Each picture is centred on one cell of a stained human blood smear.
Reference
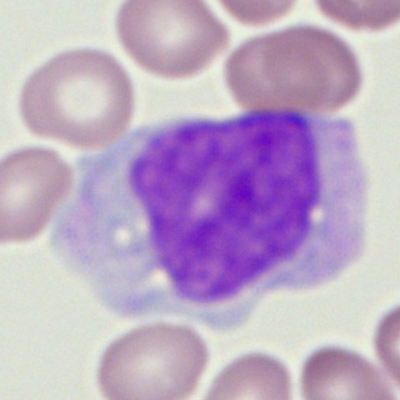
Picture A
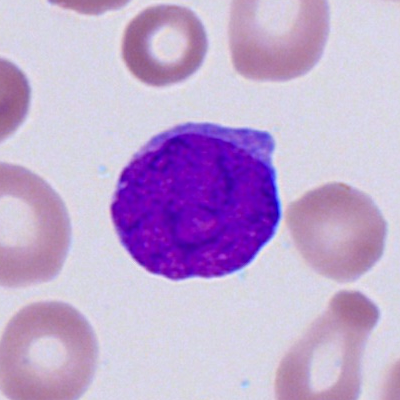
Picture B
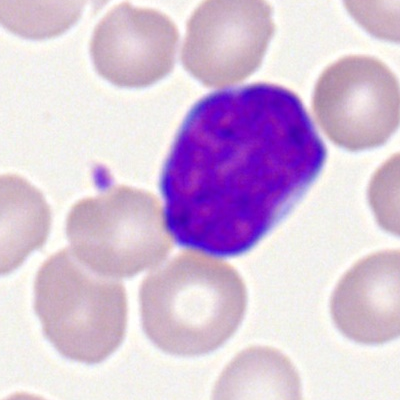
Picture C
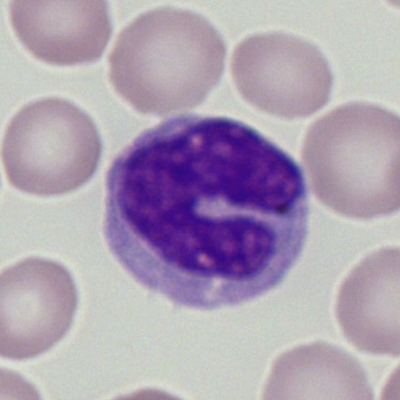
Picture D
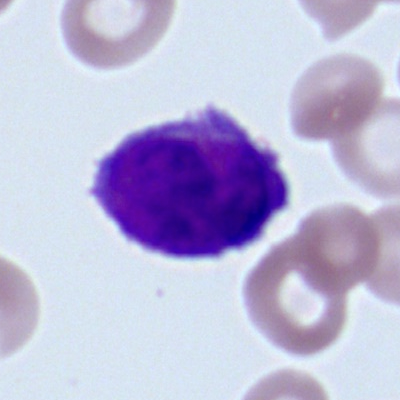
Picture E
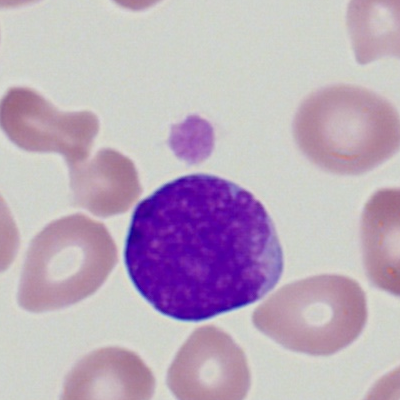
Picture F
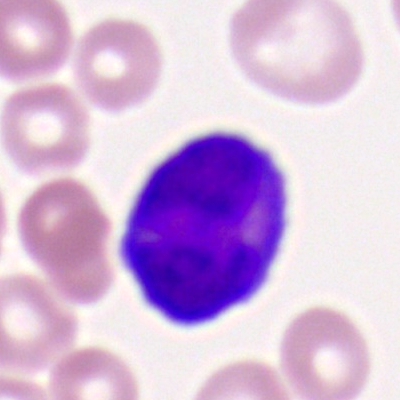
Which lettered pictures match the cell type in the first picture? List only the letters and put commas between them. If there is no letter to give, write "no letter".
C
